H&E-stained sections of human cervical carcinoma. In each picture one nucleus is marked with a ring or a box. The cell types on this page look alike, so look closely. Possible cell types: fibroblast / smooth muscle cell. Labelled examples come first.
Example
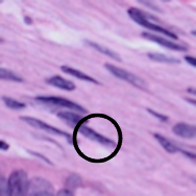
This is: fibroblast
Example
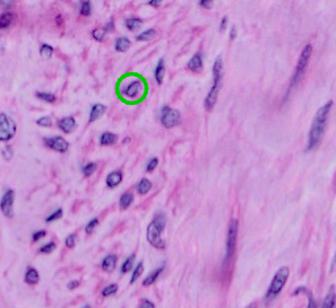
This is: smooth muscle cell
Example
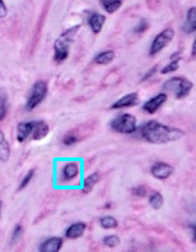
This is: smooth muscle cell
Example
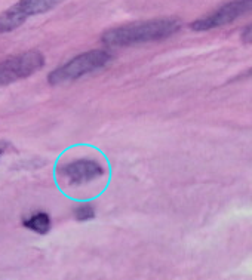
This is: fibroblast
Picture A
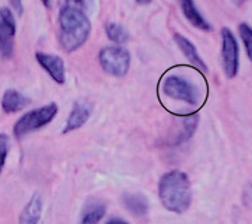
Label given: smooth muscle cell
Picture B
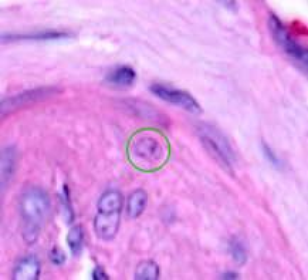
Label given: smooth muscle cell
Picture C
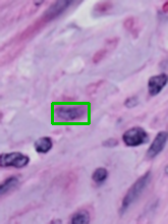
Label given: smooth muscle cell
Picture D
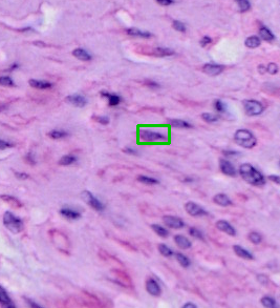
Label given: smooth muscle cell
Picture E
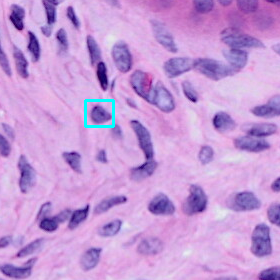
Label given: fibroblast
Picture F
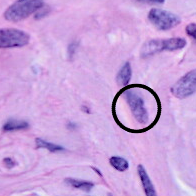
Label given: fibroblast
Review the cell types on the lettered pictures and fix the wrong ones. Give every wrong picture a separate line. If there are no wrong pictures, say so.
A: not smooth muscle cell but fibroblast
